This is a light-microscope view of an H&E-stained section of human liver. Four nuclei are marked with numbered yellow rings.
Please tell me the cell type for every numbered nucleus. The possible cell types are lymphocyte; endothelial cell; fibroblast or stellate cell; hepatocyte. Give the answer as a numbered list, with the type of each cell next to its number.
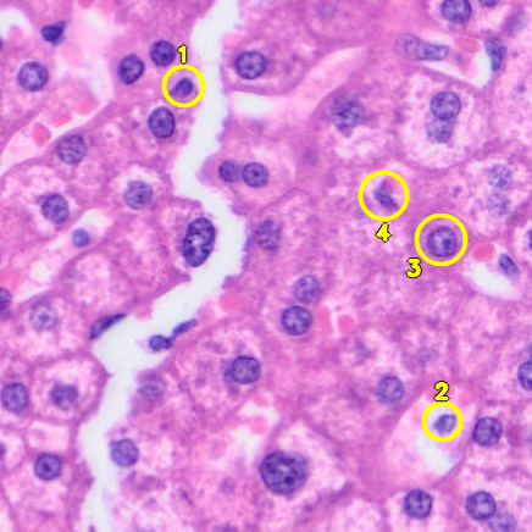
1. fibroblast or stellate cell
2. lymphocyte
3. hepatocyte
4. endothelial cell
